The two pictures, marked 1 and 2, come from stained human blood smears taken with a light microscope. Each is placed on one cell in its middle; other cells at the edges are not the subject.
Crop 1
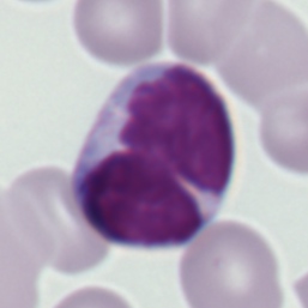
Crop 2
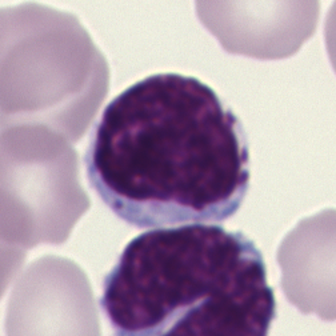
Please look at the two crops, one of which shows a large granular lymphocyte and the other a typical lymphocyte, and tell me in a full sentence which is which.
At the centre of crop 1 lies a large granular lymphocyte, and at the centre of crop 2 lies a typical lymphocyte.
